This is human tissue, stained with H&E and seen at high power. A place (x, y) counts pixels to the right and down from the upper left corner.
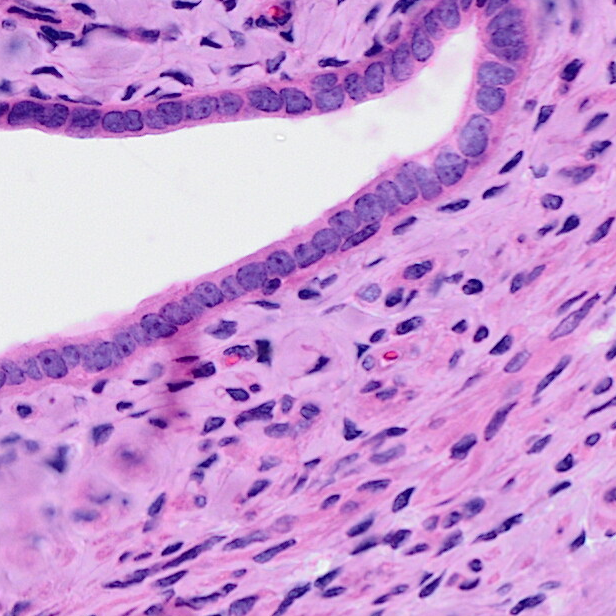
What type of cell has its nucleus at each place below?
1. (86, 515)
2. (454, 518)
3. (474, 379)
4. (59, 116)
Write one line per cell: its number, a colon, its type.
1: smooth muscle cell
2: smooth muscle cell
3: smooth muscle cell
4: carcinoma cell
